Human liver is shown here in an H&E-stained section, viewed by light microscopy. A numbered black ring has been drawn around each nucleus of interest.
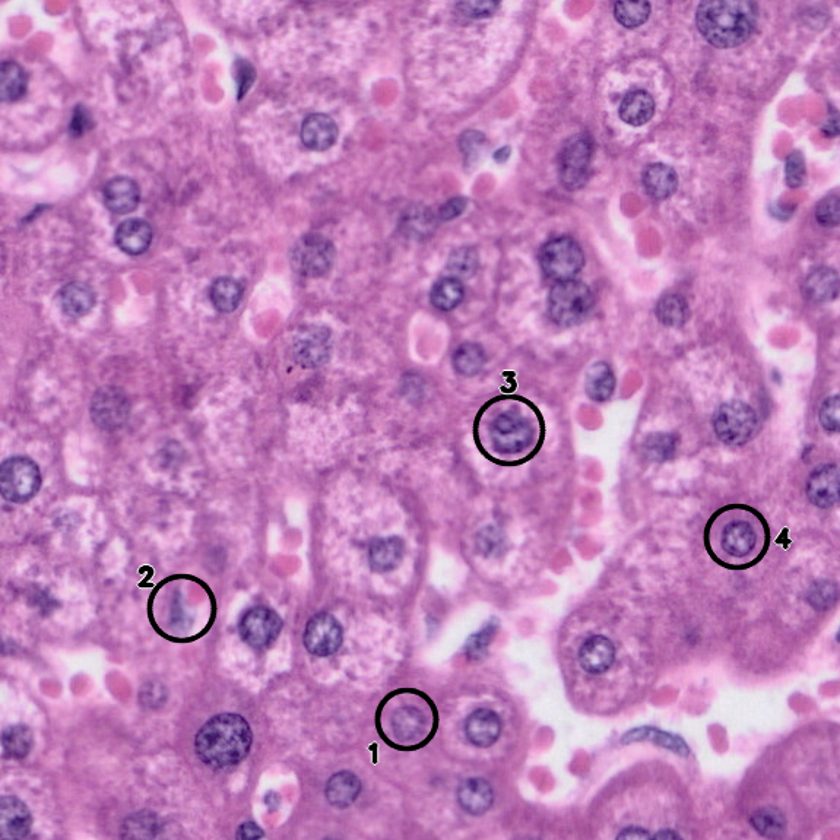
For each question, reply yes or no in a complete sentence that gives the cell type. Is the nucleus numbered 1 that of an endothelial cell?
No, cell 1 is correctly identified as a hepatocyte and not as an endothelial cell.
